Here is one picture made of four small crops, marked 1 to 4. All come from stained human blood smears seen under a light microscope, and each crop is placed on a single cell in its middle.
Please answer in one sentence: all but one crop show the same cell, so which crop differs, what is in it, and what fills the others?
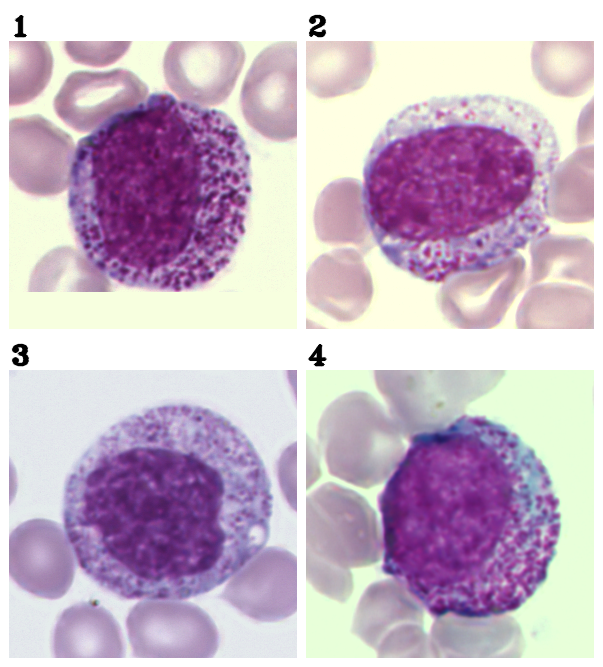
For this set, crop 3 is a myelocyte, and all the rest are promyelocytes.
